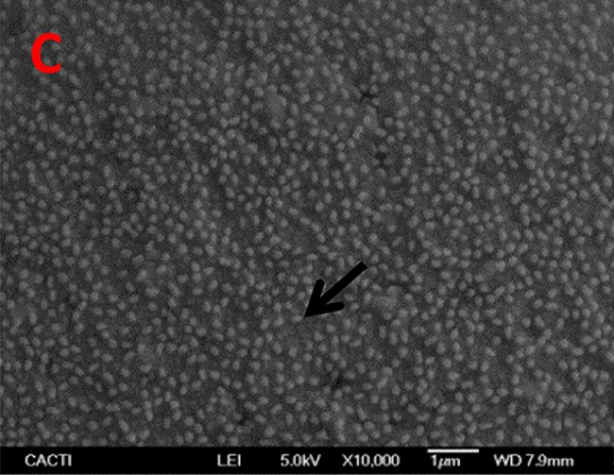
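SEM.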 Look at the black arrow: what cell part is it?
microvilli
